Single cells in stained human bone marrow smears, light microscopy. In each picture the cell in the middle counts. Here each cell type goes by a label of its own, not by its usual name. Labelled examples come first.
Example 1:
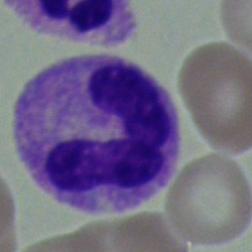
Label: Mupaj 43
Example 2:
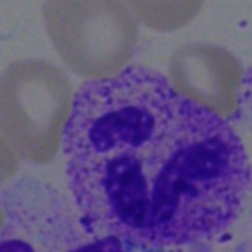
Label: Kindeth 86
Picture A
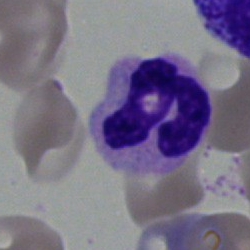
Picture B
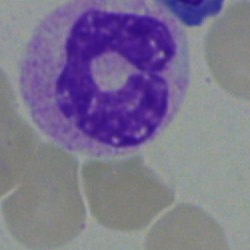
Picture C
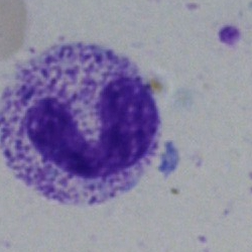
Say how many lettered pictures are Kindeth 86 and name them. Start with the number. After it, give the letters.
2, namely A, B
